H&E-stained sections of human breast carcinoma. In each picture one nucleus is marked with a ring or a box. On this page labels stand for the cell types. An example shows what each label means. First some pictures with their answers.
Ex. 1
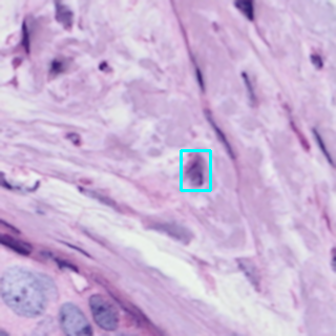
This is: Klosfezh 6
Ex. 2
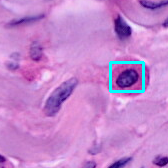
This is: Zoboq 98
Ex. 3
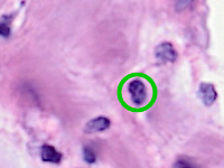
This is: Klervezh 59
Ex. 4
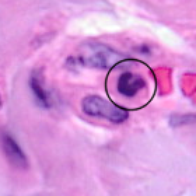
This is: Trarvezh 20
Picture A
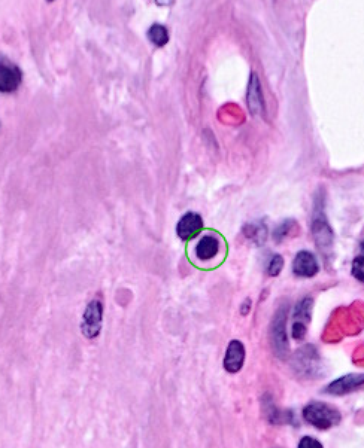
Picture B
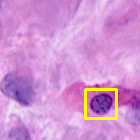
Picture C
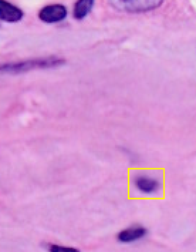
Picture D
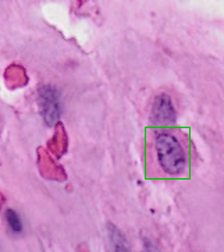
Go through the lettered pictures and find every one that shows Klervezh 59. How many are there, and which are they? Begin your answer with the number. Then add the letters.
2, namely A, C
